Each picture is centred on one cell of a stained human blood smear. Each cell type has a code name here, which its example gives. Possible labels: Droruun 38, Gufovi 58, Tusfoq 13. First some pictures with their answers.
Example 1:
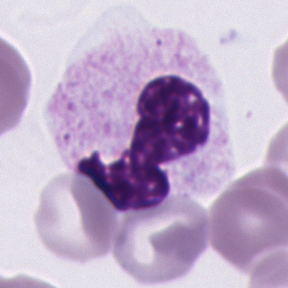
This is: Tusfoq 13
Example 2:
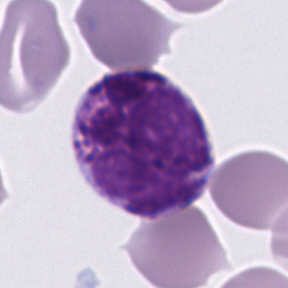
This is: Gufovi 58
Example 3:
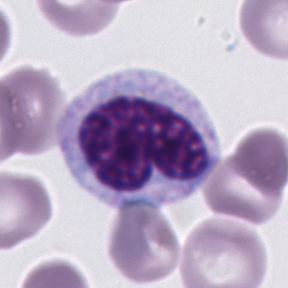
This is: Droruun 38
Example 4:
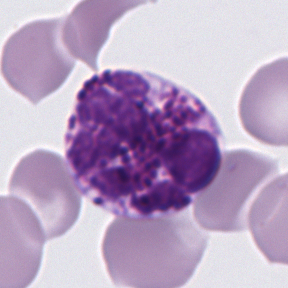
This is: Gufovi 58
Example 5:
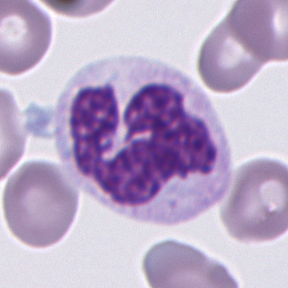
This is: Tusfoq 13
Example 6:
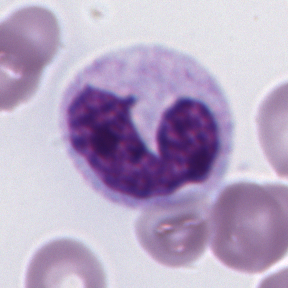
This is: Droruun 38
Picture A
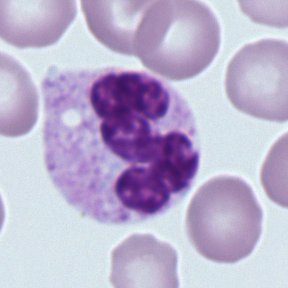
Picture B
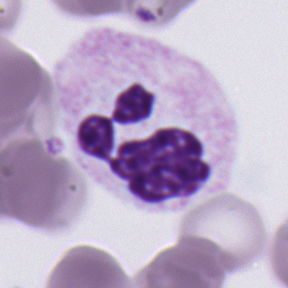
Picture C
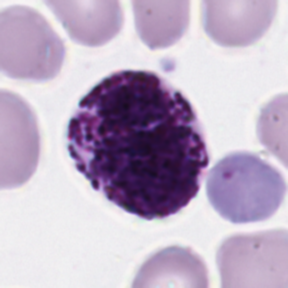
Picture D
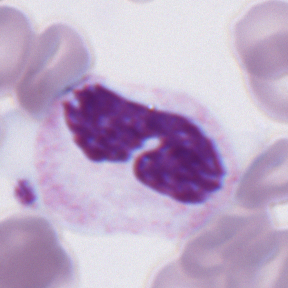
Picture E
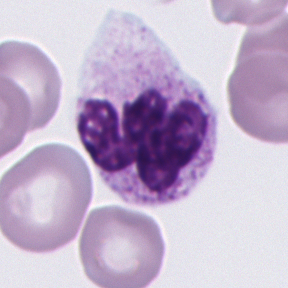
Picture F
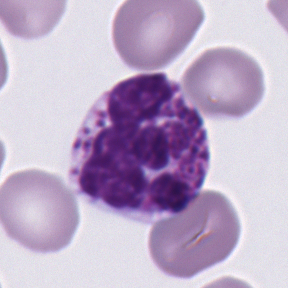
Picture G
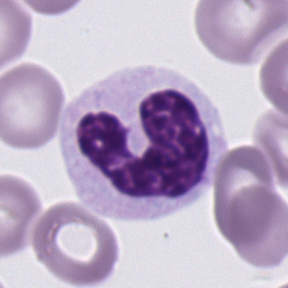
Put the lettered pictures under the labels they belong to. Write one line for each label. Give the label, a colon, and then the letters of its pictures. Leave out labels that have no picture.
Droruun 38: G
Gufovi 58: C, F
Tusfoq 13: A, B, D, E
